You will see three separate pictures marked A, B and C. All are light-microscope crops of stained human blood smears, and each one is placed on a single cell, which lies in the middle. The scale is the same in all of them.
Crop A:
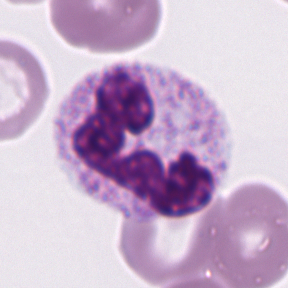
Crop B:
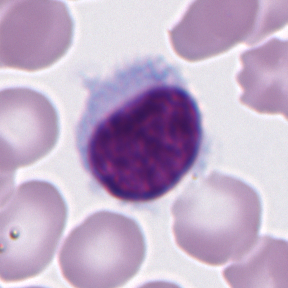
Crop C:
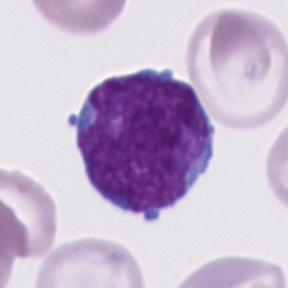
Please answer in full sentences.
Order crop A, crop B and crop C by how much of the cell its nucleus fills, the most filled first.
From the most filled to the least, the order is C, B, A.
